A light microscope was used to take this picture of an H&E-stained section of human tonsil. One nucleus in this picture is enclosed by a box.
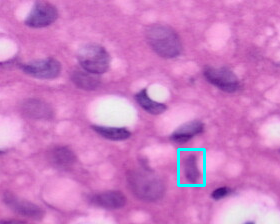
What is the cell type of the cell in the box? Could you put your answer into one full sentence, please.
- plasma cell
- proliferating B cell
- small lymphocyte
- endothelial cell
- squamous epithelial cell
At the level of cell identity, the cell in the box is a squamous epithelial cell.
